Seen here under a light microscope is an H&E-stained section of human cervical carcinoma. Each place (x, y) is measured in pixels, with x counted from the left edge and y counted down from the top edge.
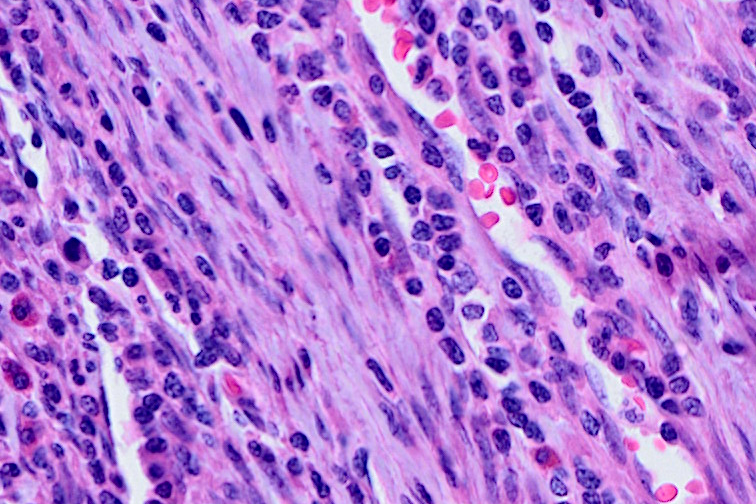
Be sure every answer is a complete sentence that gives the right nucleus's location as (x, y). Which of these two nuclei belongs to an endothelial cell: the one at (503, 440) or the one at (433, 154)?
Located at (433, 154), this nucleus is the one belonging to an endothelial cell.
